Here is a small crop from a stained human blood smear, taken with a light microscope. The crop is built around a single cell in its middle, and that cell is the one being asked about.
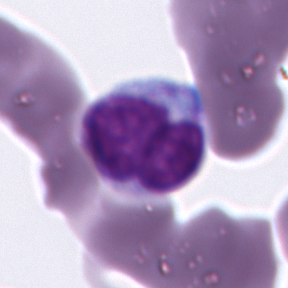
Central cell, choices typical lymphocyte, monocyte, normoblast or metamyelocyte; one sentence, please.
For this crop, the cell in the middle is a typical lymphocyte.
